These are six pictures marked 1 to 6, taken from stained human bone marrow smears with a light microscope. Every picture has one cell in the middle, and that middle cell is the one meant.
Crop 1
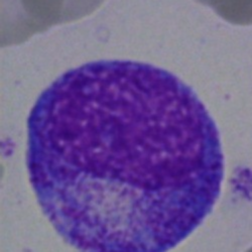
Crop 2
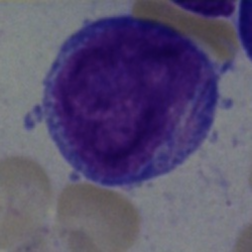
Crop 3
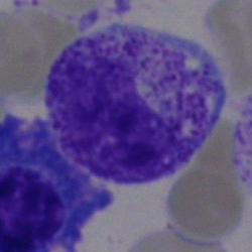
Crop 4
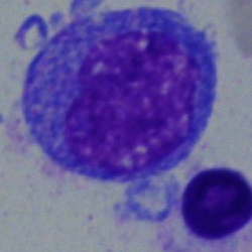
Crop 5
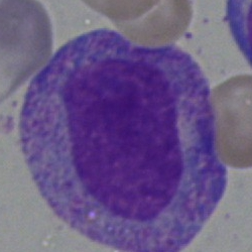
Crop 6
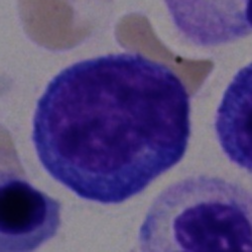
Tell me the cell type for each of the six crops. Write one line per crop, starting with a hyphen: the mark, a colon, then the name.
- 1: promyelocyte
- 2: blast
- 3: myelocyte
- 4: blast
- 5: promyelocyte
- 6: blast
